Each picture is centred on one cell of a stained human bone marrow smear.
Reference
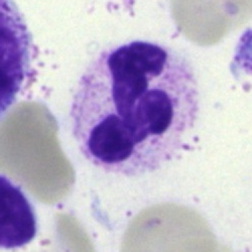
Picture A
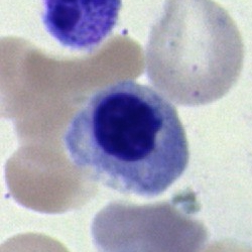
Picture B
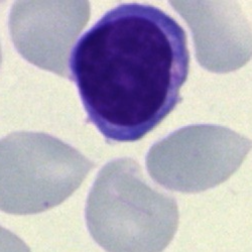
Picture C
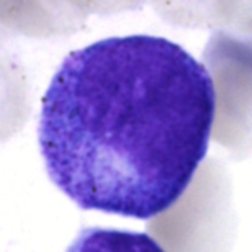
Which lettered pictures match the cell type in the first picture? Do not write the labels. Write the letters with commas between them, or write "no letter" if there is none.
no letter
